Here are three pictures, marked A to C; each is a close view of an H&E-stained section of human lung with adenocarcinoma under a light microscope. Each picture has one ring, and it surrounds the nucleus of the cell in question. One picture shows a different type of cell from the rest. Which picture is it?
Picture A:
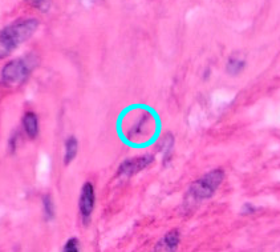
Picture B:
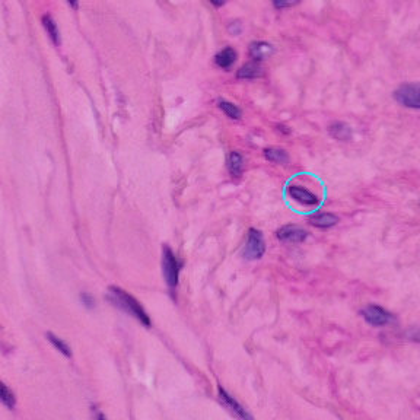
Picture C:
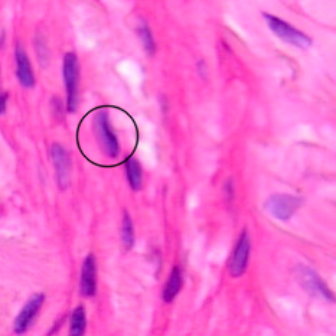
A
